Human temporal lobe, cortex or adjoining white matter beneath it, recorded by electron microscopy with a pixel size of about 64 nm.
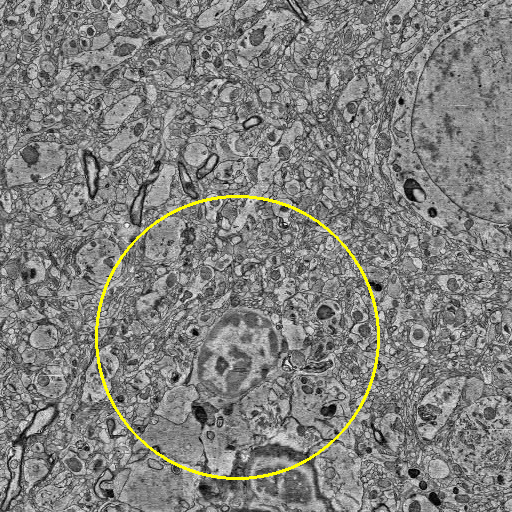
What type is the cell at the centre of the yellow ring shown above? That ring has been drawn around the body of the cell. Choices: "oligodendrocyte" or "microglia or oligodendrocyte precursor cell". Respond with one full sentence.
My answer is that an oligodendrocyte lies at the centre of the yellow ring above.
